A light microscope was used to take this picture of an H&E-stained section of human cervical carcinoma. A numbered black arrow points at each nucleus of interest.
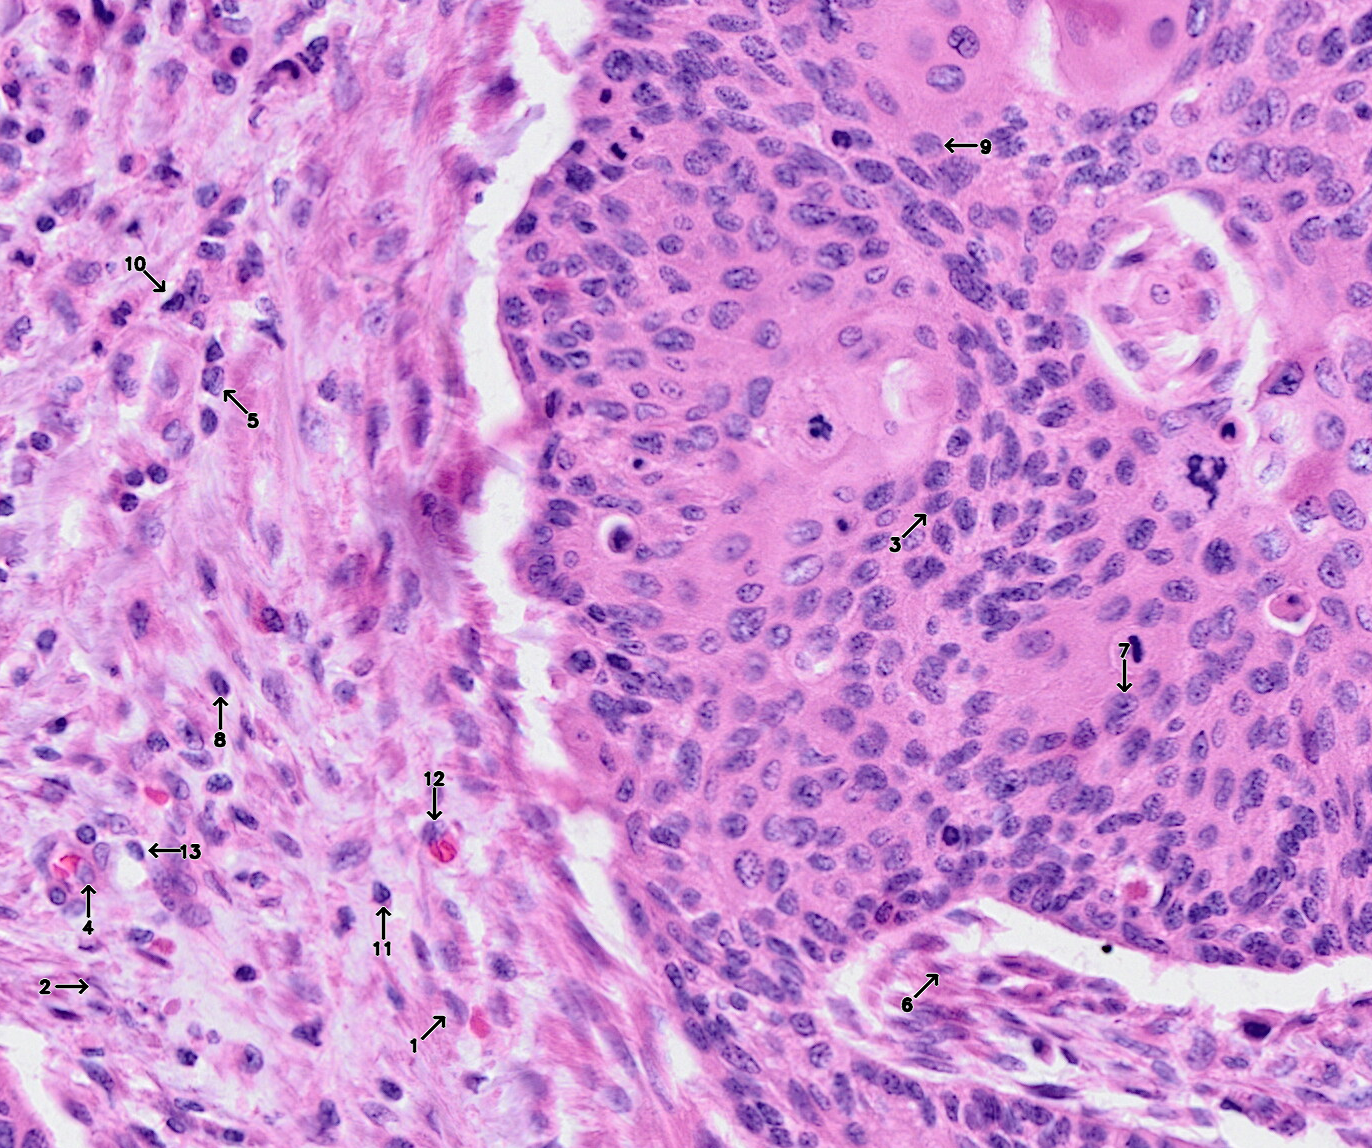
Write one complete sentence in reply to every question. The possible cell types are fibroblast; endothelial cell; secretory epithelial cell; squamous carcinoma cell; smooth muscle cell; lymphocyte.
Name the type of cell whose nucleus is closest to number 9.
Number 9 lies closest to the nucleus of a squamous carcinoma cell.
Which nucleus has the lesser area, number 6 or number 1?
It is nucleus 6; nucleus 1 has about 2.5 times its area.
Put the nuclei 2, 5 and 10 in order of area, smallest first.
The order from the smallest nucleus to the largest is 2, 10, 5.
